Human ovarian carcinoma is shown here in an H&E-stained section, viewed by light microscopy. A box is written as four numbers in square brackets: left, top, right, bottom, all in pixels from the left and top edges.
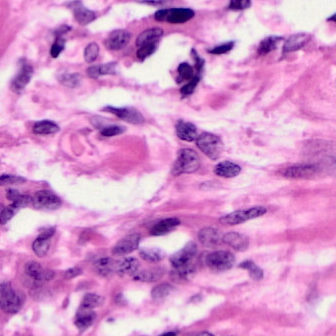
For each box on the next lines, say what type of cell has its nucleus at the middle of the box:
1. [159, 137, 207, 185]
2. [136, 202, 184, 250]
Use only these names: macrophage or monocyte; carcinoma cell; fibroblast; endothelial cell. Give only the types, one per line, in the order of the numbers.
macrophage or monocyte
carcinoma cell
